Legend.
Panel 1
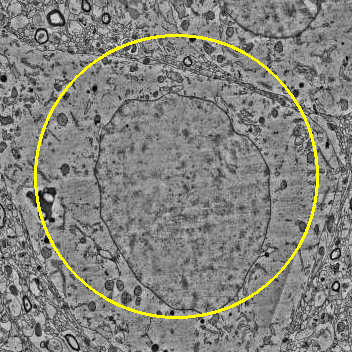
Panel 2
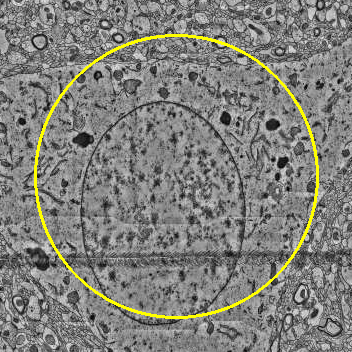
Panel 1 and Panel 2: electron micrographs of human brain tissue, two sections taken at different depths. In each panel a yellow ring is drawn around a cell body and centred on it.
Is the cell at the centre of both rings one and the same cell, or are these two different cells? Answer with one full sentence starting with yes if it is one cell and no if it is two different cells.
No, the two rings mark two different cells.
